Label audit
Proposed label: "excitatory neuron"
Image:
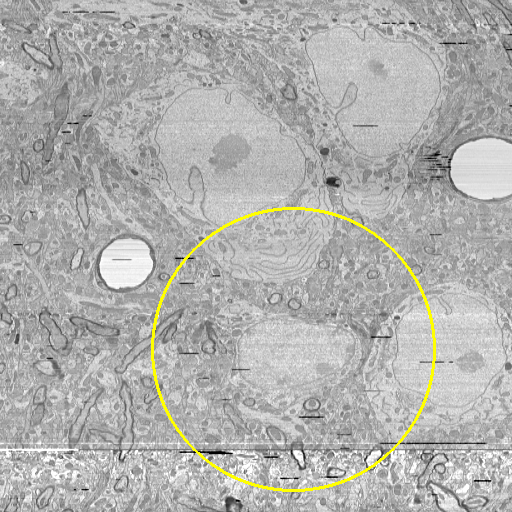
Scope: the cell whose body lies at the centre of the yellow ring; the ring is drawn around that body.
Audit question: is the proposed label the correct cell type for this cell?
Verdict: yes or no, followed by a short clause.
No, this cell is of another type.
